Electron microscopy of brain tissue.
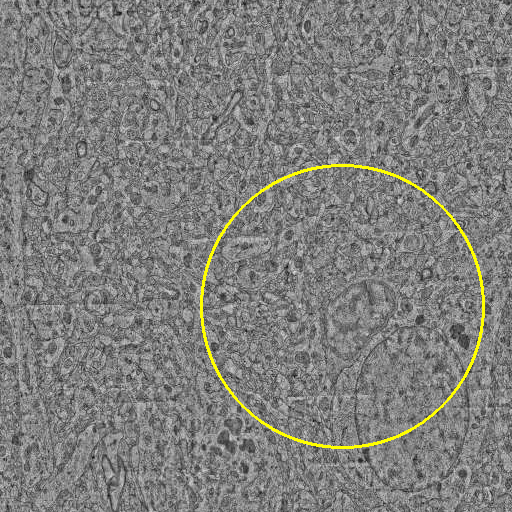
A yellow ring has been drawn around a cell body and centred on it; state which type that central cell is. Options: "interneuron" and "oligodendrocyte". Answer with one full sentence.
The cell at the middle of the yellow ring is an oligodendrocyte in this picture.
